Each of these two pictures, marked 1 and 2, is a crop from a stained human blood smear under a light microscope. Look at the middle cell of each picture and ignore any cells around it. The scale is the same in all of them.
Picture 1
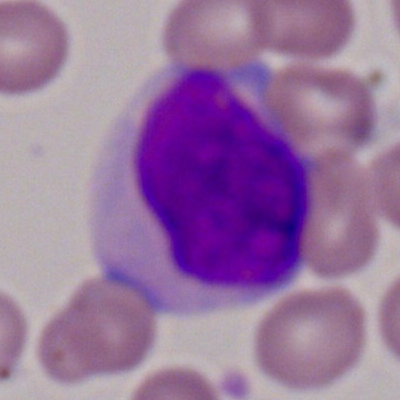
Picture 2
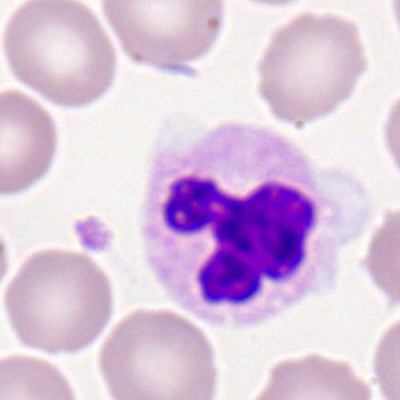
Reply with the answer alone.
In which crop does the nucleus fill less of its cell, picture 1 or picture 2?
2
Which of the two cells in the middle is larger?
1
